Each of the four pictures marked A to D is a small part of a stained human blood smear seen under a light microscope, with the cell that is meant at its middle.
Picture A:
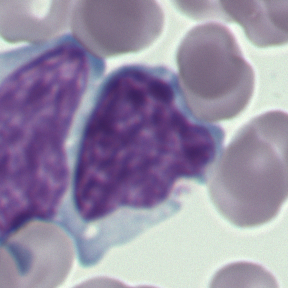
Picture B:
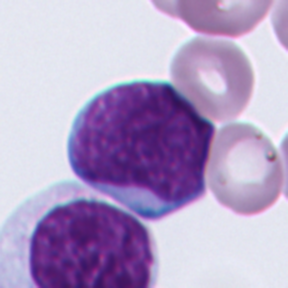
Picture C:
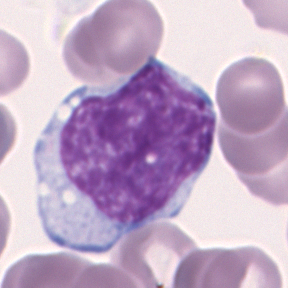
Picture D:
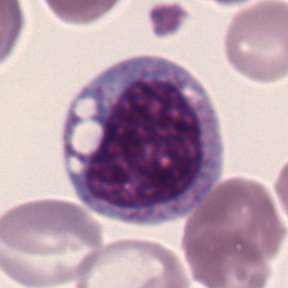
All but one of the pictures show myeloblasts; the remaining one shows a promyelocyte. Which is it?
D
